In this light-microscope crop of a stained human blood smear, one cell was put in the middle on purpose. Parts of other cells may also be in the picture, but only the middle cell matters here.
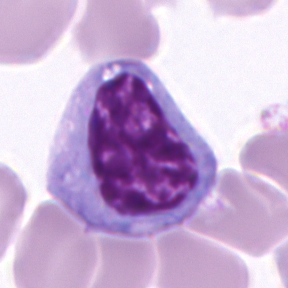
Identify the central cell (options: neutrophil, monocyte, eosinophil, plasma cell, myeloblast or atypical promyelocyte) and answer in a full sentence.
Positioned in the middle of the crop is a plasma cell.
